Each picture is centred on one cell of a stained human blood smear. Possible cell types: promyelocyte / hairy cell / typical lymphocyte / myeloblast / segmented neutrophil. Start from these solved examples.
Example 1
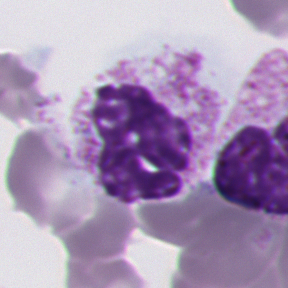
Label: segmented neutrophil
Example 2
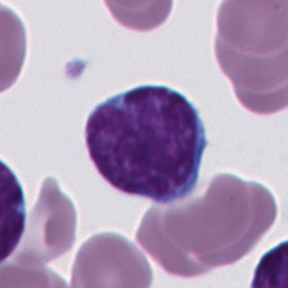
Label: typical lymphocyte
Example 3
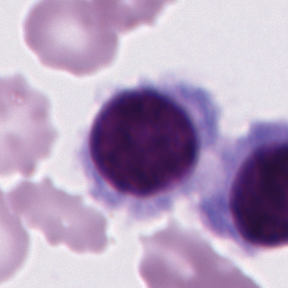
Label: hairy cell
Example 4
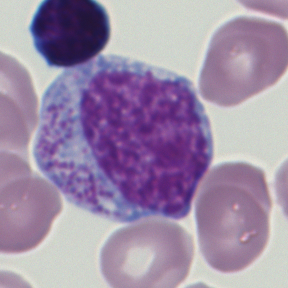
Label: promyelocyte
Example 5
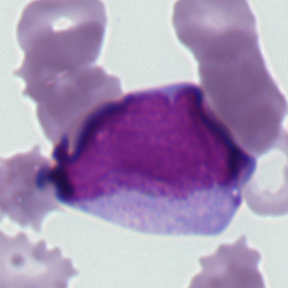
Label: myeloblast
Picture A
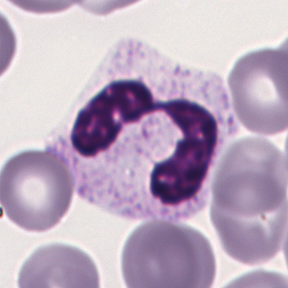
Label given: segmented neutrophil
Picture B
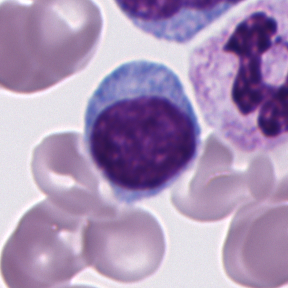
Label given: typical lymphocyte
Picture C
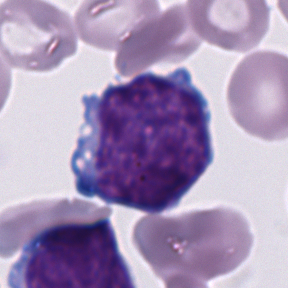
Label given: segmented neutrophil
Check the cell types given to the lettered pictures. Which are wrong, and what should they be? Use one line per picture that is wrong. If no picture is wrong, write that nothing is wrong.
C: change segmented neutrophil to myeloblast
